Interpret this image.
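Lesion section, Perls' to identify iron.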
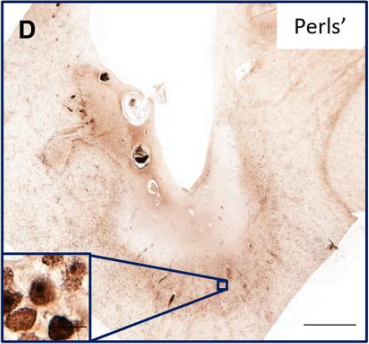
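A low-magnification section of brain tissue with a cleft and several vessel cross-sections, stained faintly brown with darker brown deposits in places. The enlarged inset shows rounded cells packed with dark brown granular material.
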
